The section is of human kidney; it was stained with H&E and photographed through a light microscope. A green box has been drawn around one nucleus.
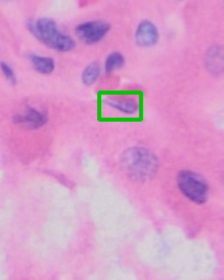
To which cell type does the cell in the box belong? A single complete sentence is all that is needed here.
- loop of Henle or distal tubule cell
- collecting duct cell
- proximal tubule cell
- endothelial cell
Right, so the cell in the box is an endothelial cell, to answer that.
